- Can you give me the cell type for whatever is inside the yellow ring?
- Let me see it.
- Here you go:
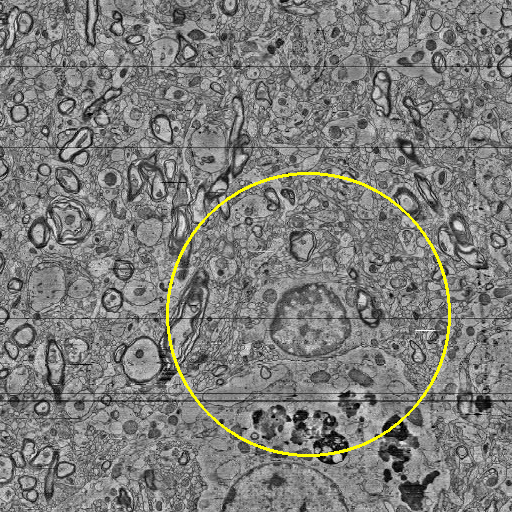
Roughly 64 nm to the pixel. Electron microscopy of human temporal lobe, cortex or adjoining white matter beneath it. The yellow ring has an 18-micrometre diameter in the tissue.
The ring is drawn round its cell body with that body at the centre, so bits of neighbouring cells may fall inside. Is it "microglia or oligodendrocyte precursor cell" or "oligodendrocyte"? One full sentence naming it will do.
The cell body in the middle of the ring in this picture belongs to an oligodendrocyte.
